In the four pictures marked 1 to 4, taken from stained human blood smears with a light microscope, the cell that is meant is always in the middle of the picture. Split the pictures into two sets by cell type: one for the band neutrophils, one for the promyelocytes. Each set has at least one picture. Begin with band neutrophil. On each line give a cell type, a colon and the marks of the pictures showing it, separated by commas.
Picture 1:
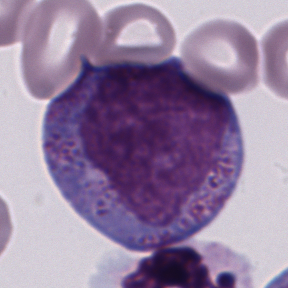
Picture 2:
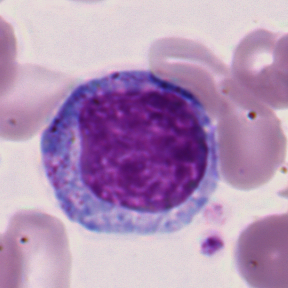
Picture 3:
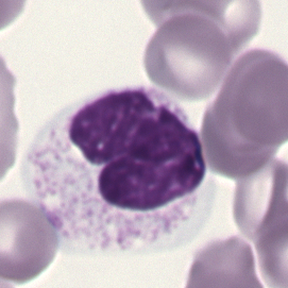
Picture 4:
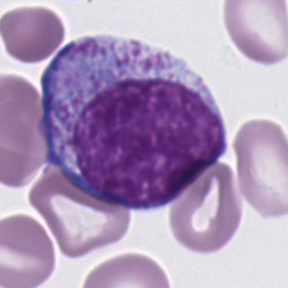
band neutrophil: 3
promyelocyte: 1, 2, 4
